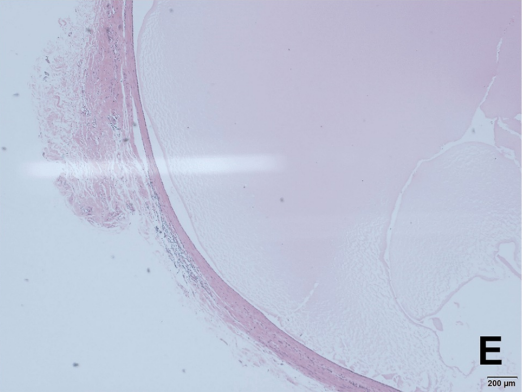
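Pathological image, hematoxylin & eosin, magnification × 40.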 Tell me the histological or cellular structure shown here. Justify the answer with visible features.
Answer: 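Cyst. A large, pale, nearly empty space fills most of the panel. A thin, continuous curved band of tissue bounds this space along one side.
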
